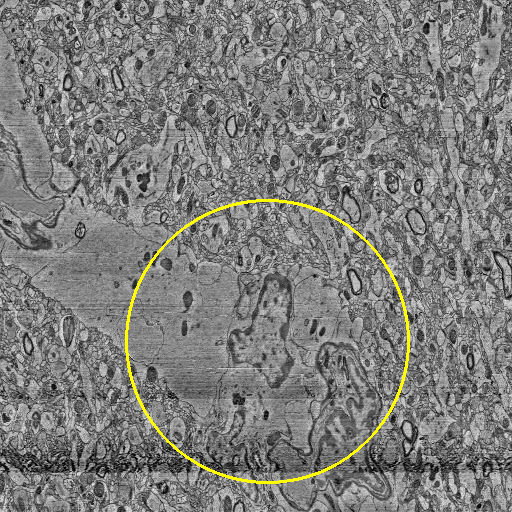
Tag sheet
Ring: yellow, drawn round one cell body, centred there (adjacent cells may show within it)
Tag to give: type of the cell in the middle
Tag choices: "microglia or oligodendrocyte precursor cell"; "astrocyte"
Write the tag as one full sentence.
I tag the cell centred in the yellow ring as a microglial cell or oligodendrocyte precursor cell in this picture.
